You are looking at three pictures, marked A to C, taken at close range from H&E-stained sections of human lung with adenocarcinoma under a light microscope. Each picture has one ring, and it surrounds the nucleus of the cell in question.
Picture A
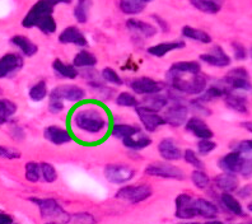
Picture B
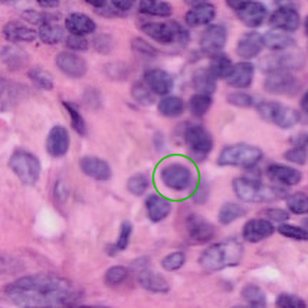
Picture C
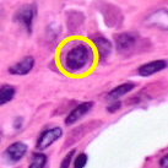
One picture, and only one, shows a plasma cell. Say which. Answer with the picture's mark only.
C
